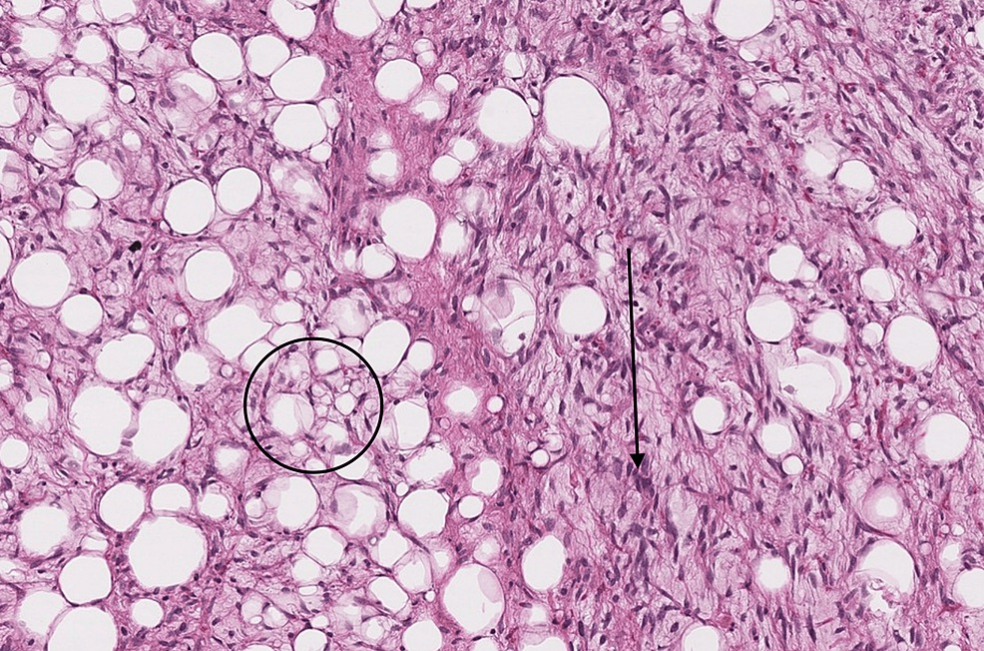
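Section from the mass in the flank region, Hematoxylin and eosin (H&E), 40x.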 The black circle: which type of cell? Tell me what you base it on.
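Immature adipocytes. The circle encloses clear, empty-looking vacuolated spaces of varying size. Several small vacuoles cluster together within thin pink cell borders. Scattered small dark nuclei lie at the edges of the vacuoles.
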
